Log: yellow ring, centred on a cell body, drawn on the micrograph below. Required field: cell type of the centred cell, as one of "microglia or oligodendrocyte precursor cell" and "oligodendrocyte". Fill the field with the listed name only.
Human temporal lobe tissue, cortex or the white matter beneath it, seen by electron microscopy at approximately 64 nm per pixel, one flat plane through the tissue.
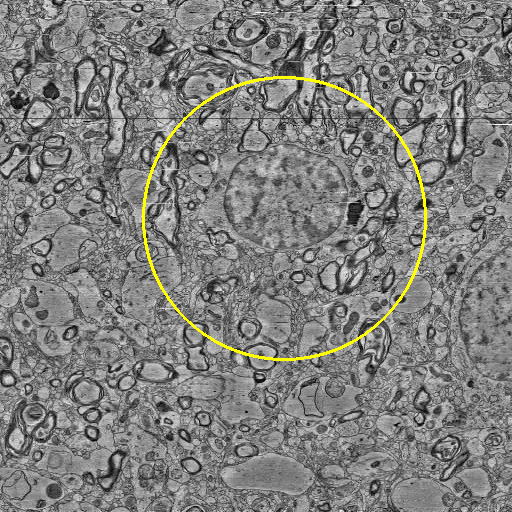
oligodendrocyte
